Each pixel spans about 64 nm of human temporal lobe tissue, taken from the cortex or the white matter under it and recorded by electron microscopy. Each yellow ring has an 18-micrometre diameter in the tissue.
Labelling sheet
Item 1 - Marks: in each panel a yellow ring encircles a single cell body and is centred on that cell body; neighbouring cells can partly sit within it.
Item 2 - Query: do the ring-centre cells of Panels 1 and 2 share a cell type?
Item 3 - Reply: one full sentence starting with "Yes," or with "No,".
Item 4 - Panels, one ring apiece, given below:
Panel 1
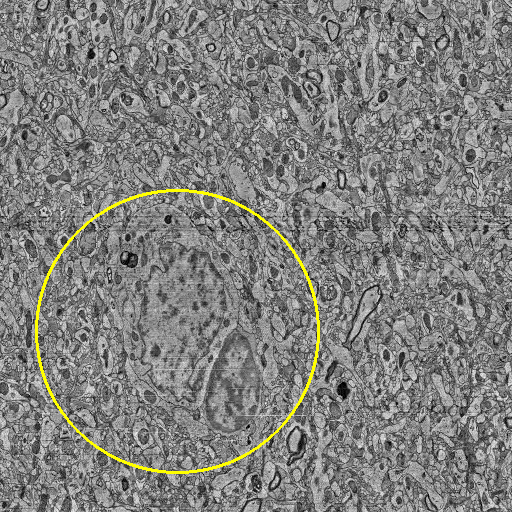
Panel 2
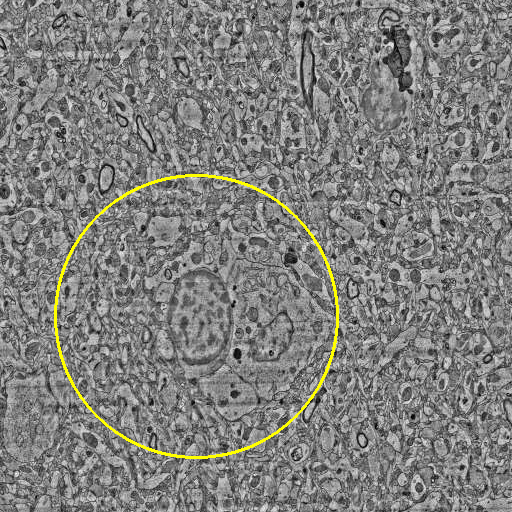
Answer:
No, Panel 1 and Panel 2 show two cell types at the centres of their rings.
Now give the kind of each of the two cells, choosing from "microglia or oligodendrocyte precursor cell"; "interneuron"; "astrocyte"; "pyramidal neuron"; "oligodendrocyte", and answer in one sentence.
The cell in the first picture is an interneuron, and the cell in the second is an oligodendrocyte.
